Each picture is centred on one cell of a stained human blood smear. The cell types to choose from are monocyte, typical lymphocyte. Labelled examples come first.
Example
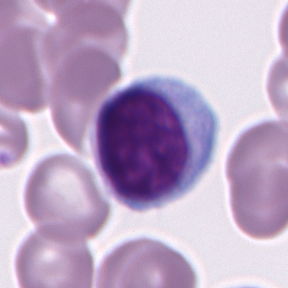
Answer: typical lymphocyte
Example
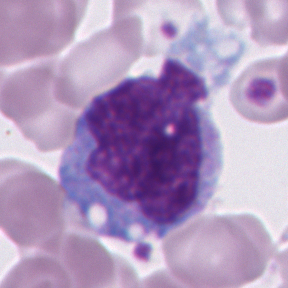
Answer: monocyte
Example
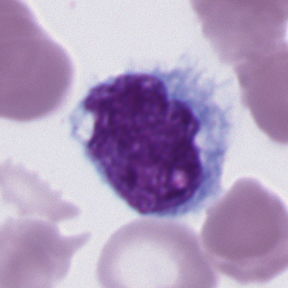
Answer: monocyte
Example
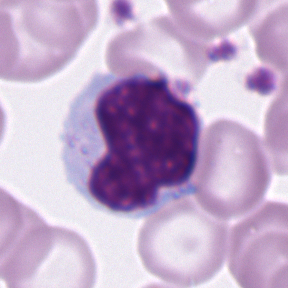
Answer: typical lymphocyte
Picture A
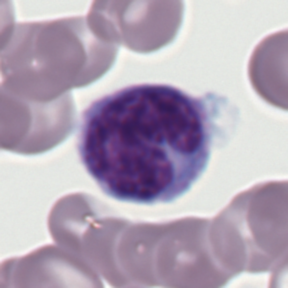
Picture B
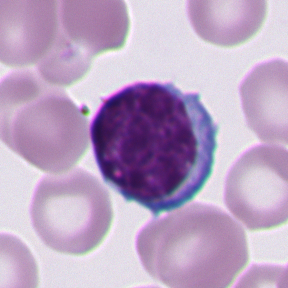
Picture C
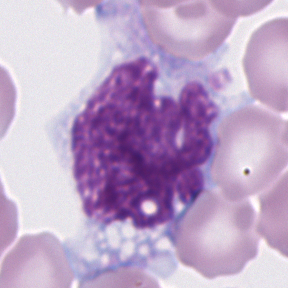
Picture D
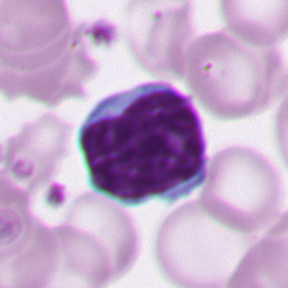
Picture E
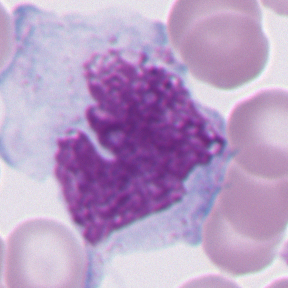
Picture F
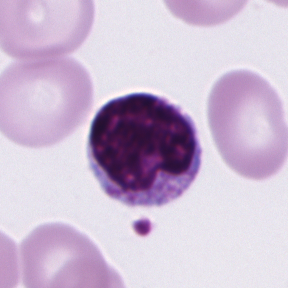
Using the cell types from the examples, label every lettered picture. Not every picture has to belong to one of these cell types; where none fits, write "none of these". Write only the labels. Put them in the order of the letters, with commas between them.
monocyte, typical lymphocyte, monocyte, typical lymphocyte, monocyte, none of these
